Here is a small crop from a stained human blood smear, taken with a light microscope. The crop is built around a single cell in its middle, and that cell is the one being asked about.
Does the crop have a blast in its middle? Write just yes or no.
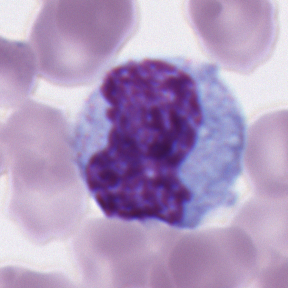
no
